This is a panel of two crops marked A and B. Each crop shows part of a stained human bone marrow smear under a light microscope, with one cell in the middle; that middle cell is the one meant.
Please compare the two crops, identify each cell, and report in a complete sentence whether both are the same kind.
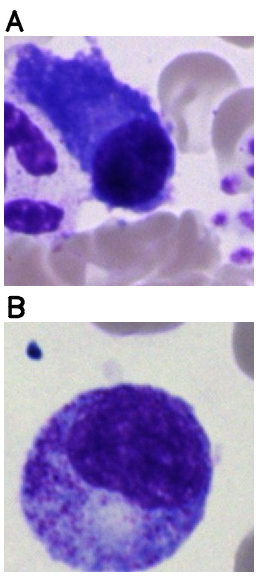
No, the central cell of crop A is a plasma cell; that of crop B is a promyelocyte.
